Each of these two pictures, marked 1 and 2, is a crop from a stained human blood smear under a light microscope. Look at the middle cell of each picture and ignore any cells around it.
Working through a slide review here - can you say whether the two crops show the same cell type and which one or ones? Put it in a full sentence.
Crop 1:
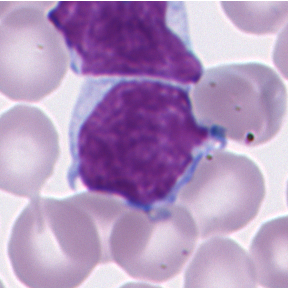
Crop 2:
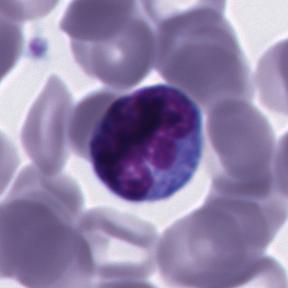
Yes, both crops here show typical lymphocytes, the pair of them.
